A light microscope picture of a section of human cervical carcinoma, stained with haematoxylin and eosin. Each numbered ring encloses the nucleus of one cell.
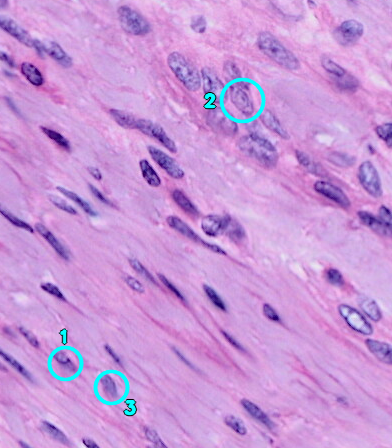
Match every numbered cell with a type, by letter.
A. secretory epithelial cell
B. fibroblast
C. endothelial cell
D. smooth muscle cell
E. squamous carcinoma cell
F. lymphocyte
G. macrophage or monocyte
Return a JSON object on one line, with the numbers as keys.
{"1": "D", "2": "C", "3": "D"}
